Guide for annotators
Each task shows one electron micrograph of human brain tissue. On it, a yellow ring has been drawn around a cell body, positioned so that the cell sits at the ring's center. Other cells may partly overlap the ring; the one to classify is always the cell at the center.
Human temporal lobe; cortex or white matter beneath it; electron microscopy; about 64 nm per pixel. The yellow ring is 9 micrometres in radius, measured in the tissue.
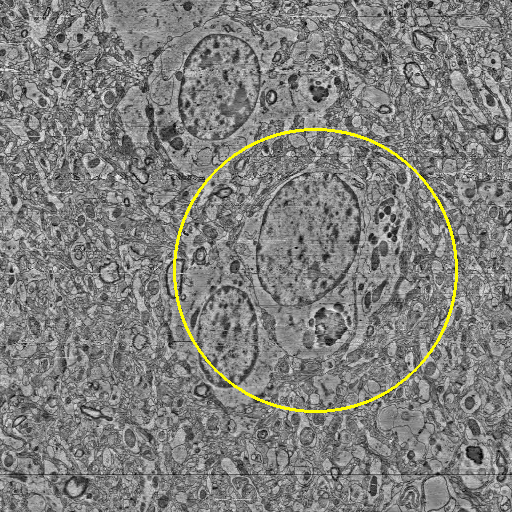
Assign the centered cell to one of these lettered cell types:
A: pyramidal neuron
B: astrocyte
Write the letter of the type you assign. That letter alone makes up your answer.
B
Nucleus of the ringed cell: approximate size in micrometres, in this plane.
The nucleus works out at approximately 9 by 6 micrometres in this plane.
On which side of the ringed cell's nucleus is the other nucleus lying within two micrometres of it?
The other nucleus appears to the lower left of it.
